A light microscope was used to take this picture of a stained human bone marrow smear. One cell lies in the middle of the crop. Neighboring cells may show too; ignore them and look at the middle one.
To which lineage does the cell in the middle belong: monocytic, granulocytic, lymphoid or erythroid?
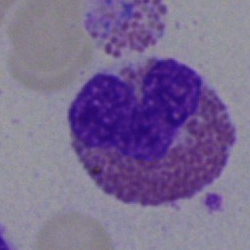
granulocytic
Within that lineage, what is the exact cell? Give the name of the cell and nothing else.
eosinophil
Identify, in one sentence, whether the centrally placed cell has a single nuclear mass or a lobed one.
This cell has a nucleus made up of two or more segments.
